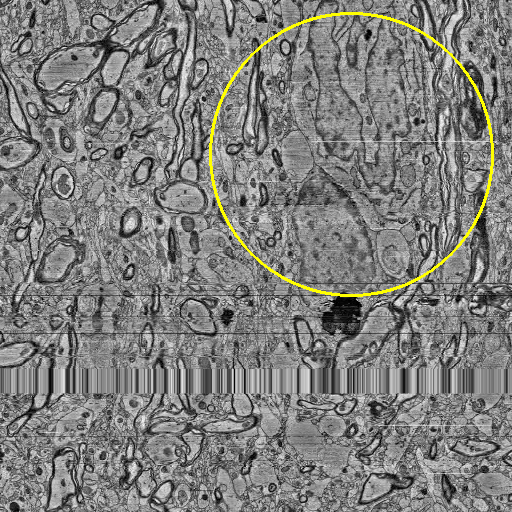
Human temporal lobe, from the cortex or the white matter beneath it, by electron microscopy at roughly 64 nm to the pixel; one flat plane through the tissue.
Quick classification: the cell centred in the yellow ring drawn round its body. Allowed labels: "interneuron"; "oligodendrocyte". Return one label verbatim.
interneuron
